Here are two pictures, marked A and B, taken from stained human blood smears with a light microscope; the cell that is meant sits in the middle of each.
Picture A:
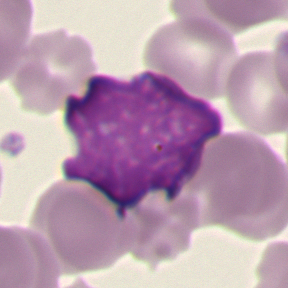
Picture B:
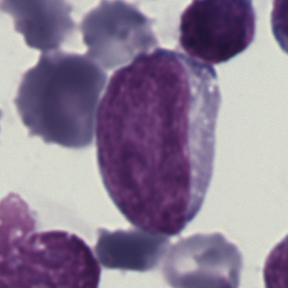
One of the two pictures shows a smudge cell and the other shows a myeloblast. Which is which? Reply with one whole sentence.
Picture A is of a smudge cell, and picture B is of a myeloblast.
